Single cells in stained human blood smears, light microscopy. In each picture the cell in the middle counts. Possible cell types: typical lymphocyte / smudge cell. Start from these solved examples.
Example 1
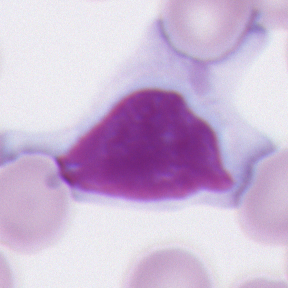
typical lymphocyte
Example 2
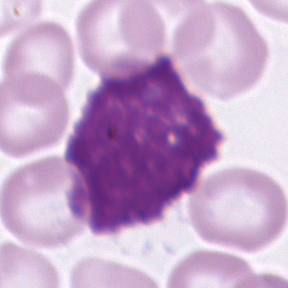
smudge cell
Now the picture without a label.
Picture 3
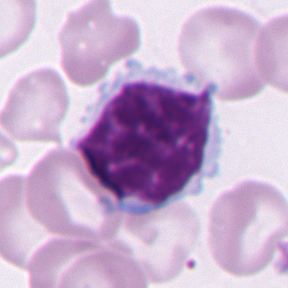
typical lymphocyte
